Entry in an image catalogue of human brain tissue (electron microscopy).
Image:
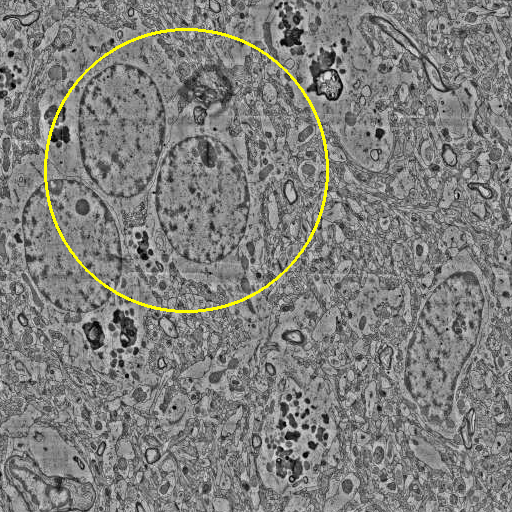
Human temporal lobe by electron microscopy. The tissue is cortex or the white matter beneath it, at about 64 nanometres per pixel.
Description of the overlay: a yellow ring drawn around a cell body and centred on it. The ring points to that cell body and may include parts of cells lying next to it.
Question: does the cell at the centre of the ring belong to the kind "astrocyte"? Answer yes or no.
yes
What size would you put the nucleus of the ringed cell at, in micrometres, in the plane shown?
About 8 by 6 micrometers for the nucleus, in this plane.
